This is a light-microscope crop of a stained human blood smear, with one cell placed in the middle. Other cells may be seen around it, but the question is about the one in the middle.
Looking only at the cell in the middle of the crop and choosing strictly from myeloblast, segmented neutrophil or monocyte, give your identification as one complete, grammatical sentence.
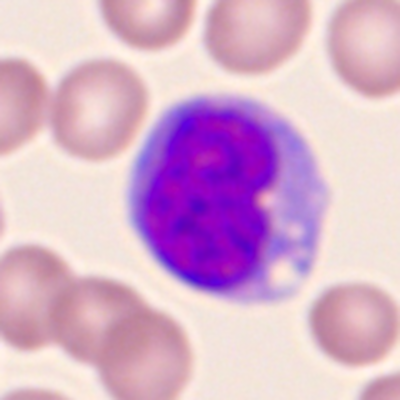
On this slide crop, the central cell is a monocyte.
